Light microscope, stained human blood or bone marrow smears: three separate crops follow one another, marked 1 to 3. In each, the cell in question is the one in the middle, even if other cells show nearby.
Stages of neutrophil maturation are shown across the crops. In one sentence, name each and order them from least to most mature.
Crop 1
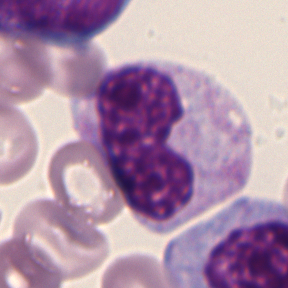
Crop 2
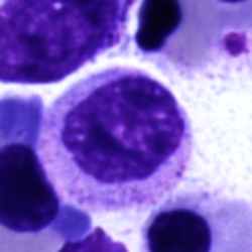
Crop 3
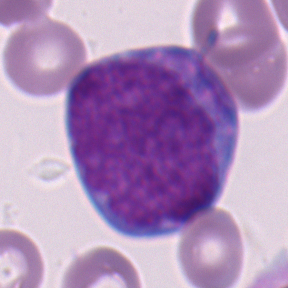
The least to most mature ordering of the crops is crop 3 (a promyelocyte), crop 2 (a myelocyte) and crop 1 (a band neutrophil).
